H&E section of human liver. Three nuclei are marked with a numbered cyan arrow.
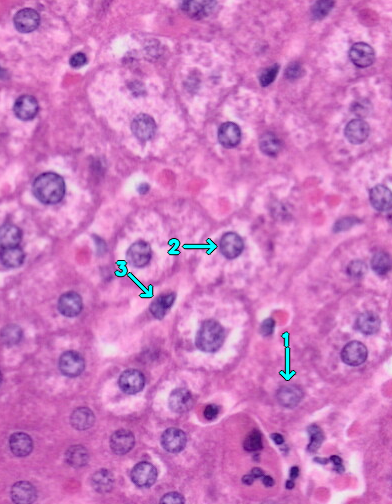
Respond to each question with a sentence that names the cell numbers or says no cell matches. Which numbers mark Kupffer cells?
Where the numbered cells are concerned, only number 3 is a Kupffer cell.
